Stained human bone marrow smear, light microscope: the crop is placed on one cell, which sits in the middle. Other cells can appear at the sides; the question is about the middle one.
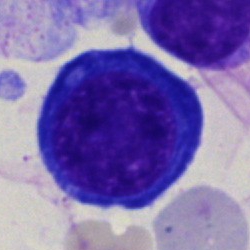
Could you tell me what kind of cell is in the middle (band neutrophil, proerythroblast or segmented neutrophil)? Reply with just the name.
proerythroblast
